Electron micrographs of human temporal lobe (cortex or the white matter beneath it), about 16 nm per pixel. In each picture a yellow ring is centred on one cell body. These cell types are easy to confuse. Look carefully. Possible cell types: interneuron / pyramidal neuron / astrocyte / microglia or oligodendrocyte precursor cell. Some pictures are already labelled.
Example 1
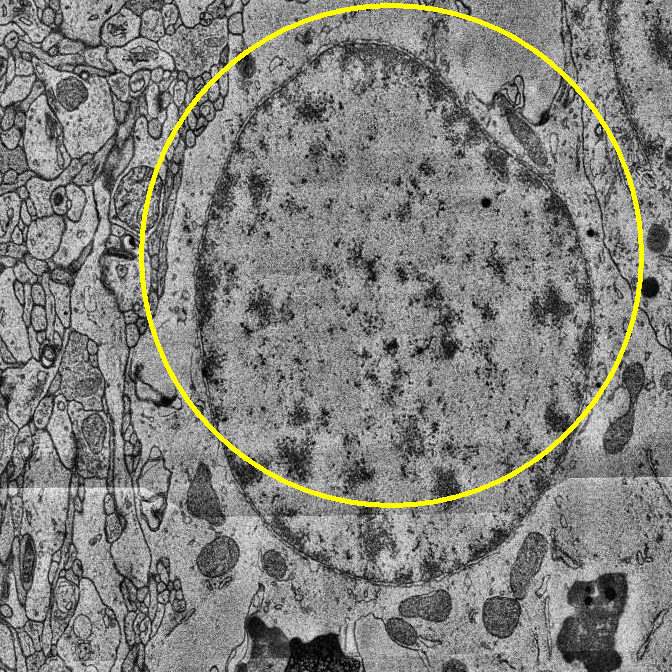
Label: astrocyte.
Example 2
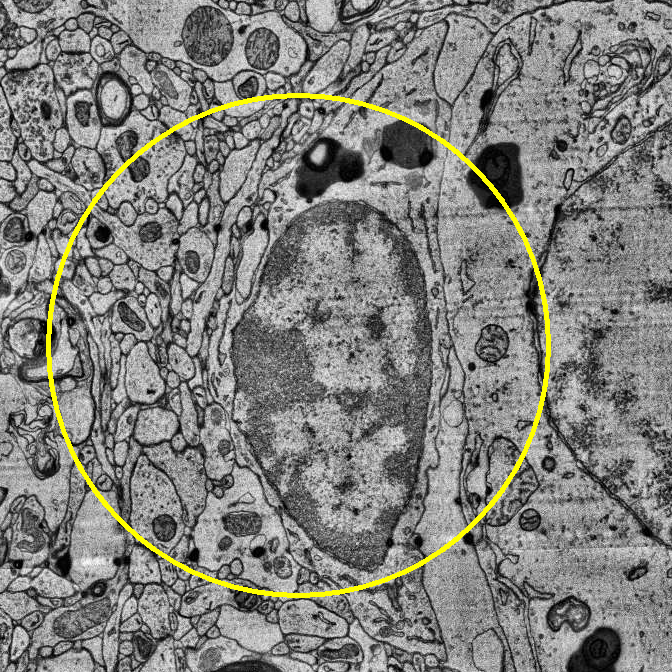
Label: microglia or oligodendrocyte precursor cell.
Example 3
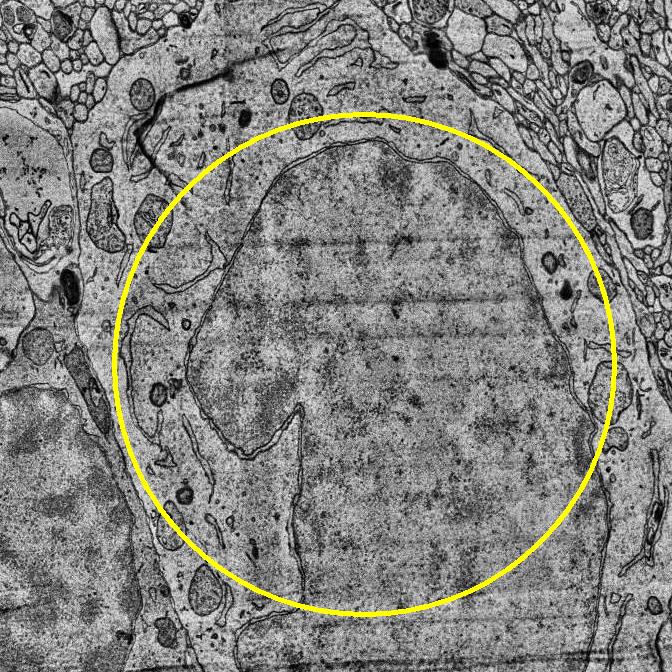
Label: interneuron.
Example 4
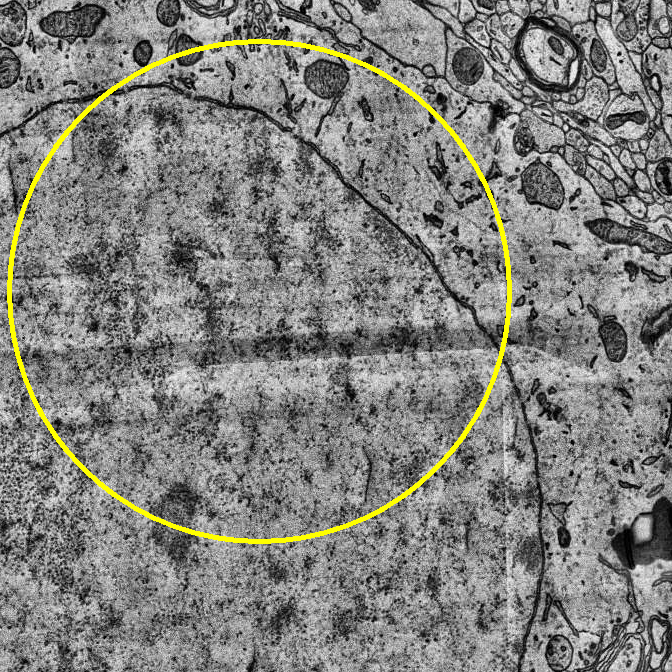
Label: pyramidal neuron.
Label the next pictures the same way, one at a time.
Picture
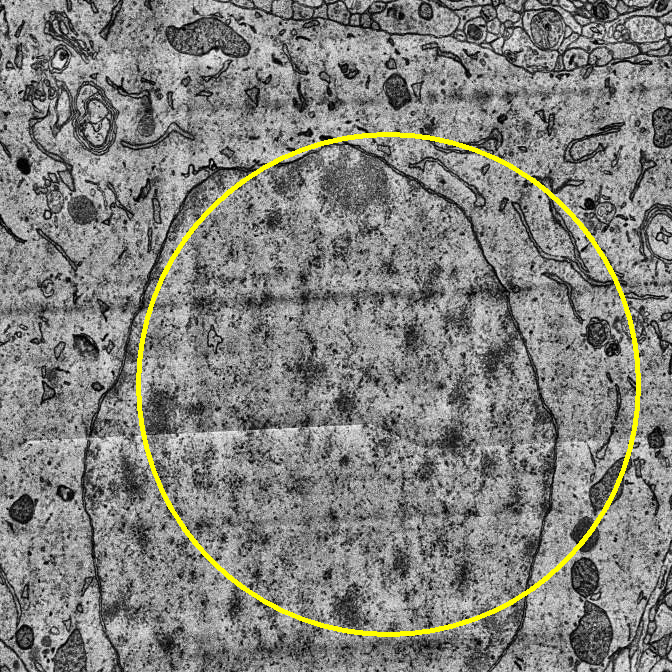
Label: pyramidal neuron.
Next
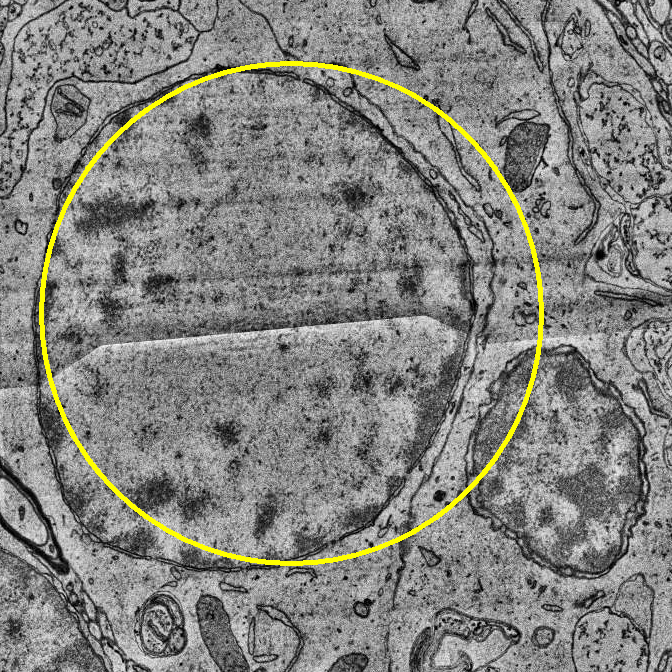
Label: astrocyte.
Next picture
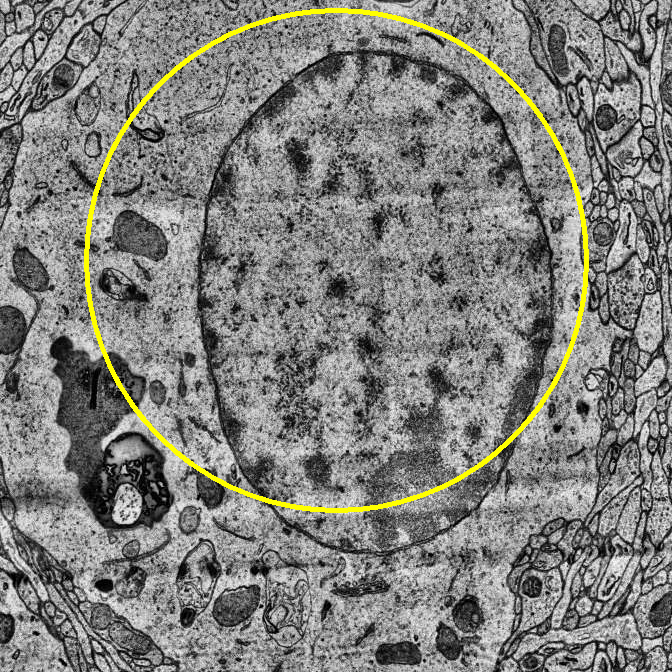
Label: astrocyte.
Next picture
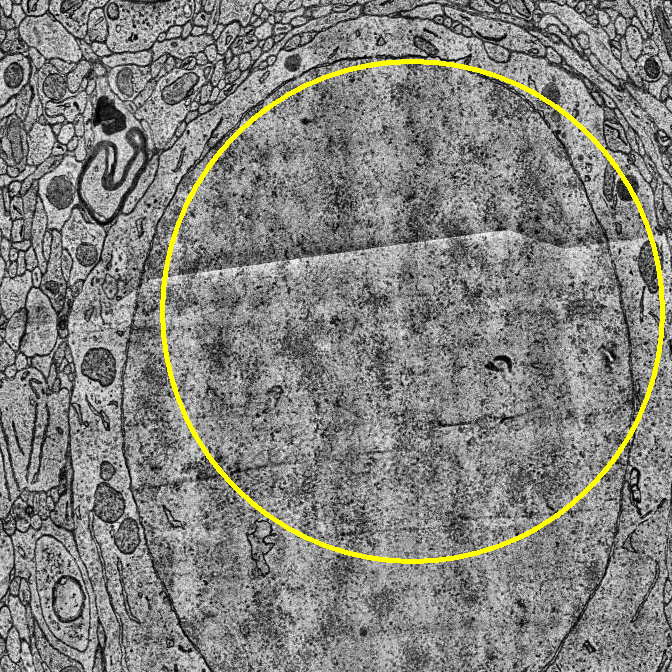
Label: pyramidal neuron.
